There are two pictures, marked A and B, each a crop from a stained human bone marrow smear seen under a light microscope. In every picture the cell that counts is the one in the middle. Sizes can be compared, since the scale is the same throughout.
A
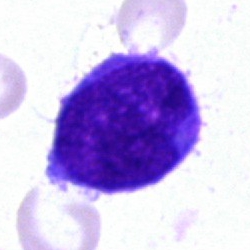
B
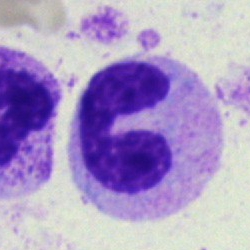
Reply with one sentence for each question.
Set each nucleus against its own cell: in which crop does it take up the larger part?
Of the two, the nucleus in picture A makes up the greater part of its cell.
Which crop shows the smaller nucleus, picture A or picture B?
Picture B shows the smaller nucleus, since that in picture A covers about 1.5 times as much area.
